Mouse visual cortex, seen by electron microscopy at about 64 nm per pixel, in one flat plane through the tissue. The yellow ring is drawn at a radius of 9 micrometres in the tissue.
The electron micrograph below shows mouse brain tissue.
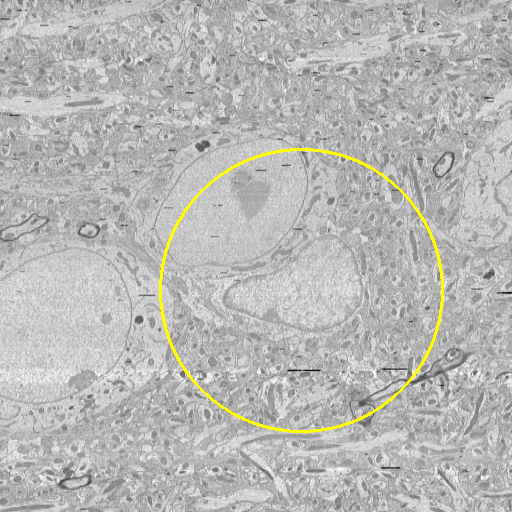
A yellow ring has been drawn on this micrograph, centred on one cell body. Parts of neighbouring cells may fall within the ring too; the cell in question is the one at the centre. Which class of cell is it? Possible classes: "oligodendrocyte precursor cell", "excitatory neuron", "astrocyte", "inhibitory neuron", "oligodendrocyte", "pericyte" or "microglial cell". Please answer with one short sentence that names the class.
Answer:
In the centre of the ring sits an astrocyte.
